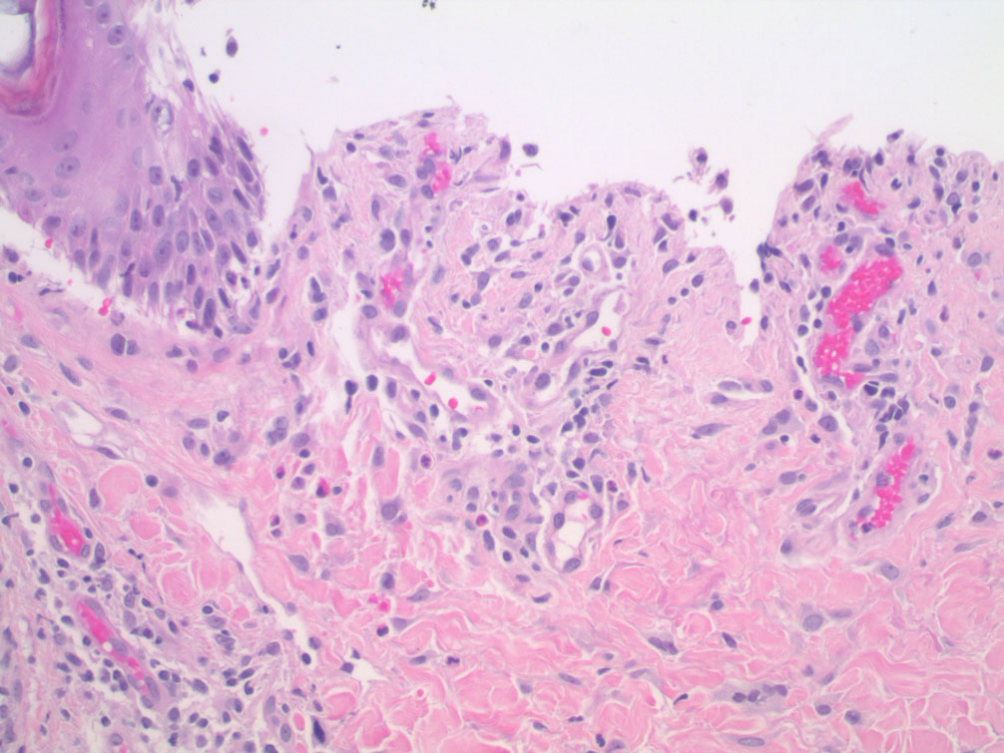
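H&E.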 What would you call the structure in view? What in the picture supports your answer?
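The floor of the blister. The upper edge of the tissue is a bare, ragged surface with an empty space above it. At upper left a piece of stratified epidermis lies beside this bare surface. Below the bare surface lie pink collagen bundles and small blood vessels full of red cells.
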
